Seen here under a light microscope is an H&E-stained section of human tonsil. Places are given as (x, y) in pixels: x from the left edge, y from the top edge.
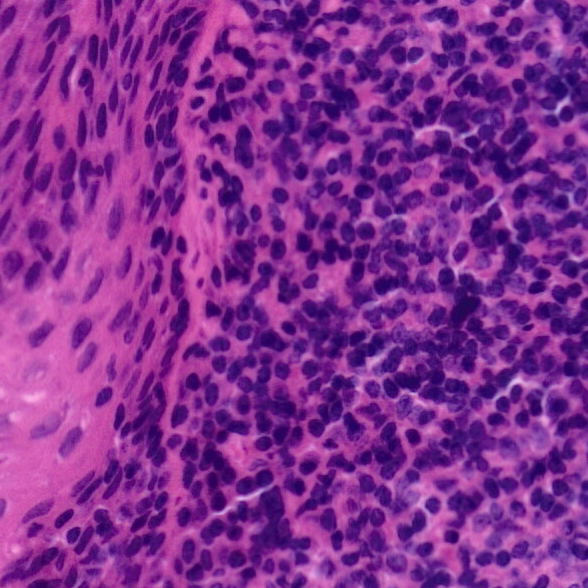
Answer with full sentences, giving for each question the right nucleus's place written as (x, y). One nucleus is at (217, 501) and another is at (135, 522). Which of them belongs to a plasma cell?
Between the two nuclei, the one sitting at (217, 501) belongs to a plasma cell.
